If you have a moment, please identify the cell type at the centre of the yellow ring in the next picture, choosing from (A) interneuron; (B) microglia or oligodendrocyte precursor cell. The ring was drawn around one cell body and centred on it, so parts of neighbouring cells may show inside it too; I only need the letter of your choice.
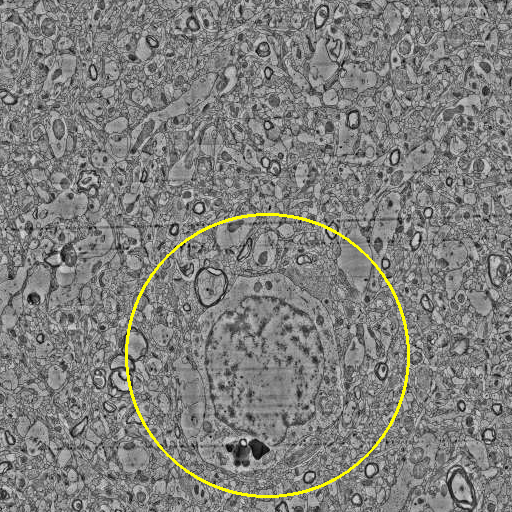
A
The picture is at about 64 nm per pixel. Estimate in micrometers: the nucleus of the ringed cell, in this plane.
About 9 micrometres by about 8 micrometres in this plane.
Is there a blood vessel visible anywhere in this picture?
No, the picture includes no blood vessel.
